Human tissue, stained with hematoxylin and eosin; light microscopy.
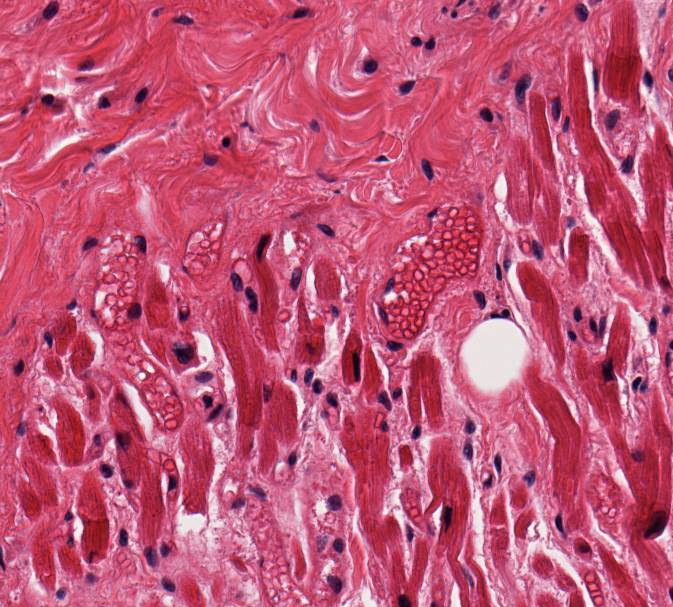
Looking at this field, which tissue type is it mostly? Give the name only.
myocardium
